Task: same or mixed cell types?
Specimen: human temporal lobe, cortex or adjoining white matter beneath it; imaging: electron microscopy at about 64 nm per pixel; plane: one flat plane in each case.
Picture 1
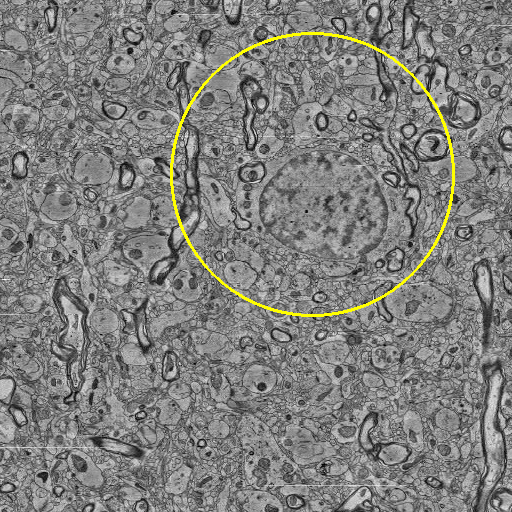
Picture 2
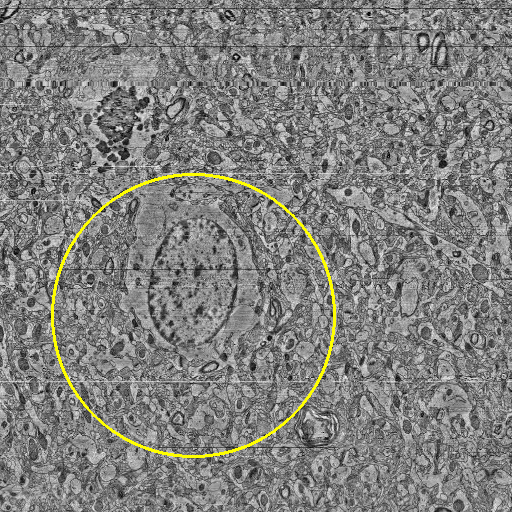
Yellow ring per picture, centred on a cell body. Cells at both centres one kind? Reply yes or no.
no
